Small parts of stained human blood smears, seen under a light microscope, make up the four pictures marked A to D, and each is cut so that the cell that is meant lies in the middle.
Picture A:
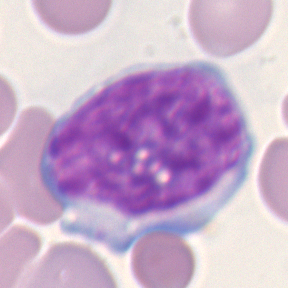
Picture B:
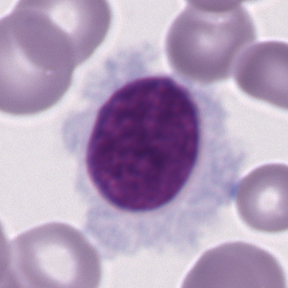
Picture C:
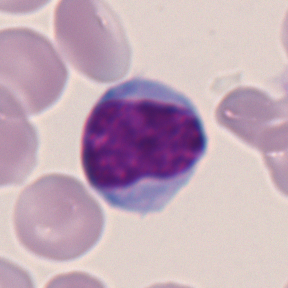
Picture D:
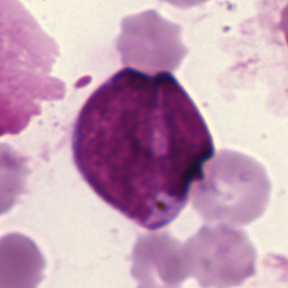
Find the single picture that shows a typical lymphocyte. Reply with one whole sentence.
It is picture C that shows the typical lymphocyte.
